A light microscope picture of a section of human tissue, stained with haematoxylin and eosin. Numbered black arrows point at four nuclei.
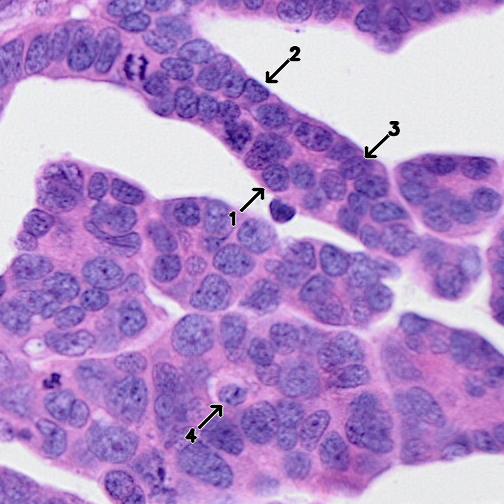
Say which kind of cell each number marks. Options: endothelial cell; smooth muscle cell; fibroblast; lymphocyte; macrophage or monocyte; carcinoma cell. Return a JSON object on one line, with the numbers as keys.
{"1": "carcinoma cell", "2": "carcinoma cell", "3": "carcinoma cell", "4": "macrophage or monocyte"}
